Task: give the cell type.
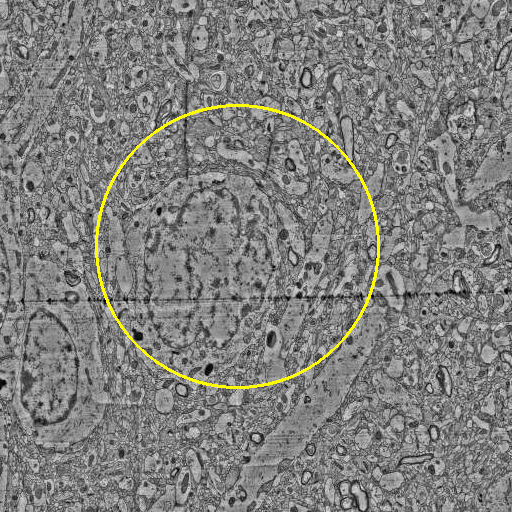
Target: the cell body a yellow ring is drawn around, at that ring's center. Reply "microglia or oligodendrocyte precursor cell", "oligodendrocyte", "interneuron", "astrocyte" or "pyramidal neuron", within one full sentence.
In this picture, the cell whose body lies at the ring's center is an interneuron.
